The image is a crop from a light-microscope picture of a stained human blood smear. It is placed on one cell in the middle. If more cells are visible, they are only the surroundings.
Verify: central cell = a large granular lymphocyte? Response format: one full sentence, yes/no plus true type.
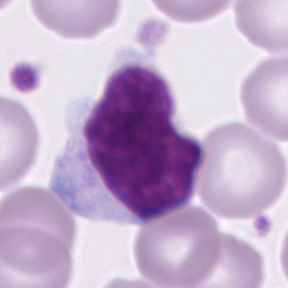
Yes, the cell shown in the middle is a large granular lymphocyte.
